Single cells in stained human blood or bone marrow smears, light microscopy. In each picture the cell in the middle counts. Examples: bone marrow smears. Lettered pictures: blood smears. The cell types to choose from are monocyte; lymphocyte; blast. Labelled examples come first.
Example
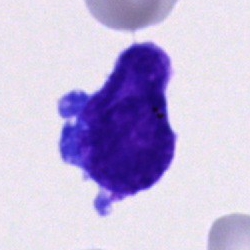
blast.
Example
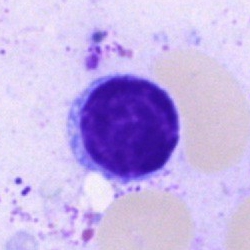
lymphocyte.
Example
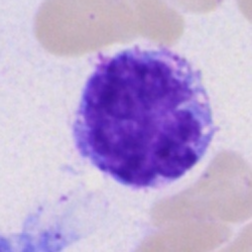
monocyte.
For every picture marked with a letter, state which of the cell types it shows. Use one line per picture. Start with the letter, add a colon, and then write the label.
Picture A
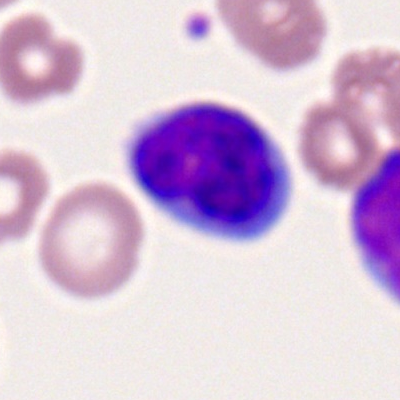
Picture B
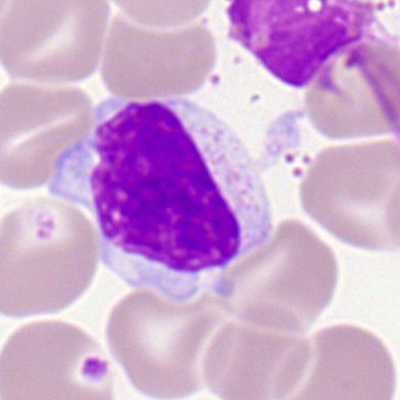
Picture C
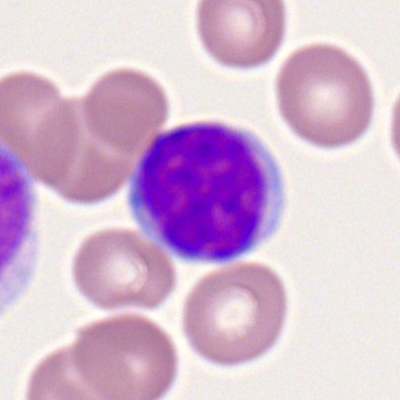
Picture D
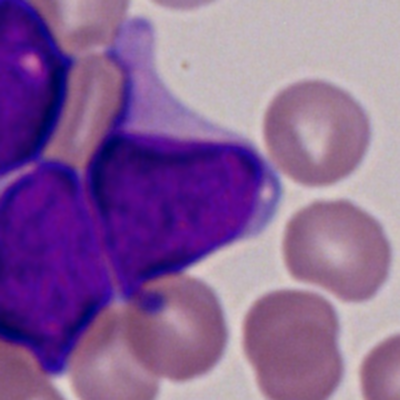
A: lymphocyte.
B: lymphocyte.
C: lymphocyte.
D: blast.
